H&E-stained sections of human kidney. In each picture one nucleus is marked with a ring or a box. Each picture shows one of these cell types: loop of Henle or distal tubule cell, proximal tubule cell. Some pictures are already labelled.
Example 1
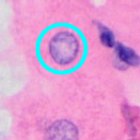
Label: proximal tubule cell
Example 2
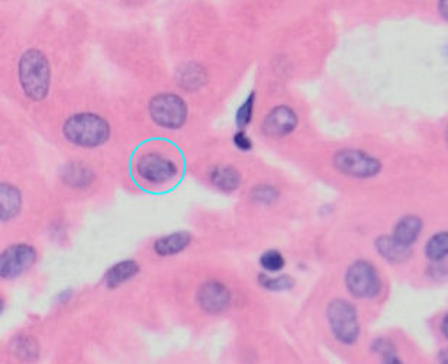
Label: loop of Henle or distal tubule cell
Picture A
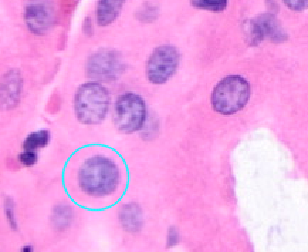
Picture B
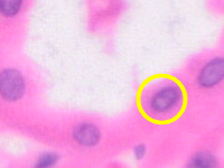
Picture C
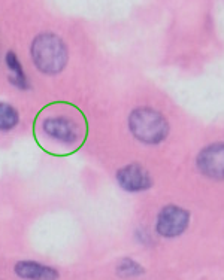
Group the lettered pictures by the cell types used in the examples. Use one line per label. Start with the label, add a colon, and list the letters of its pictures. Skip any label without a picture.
loop of Henle or distal tubule cell: A, C
proximal tubule cell: B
